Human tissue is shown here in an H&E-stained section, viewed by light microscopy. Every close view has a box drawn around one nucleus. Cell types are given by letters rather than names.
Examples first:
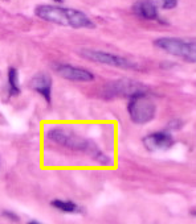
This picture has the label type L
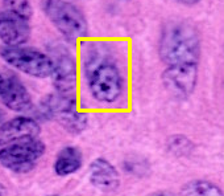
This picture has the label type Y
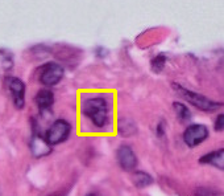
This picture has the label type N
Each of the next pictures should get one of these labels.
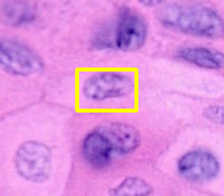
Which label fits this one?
type Y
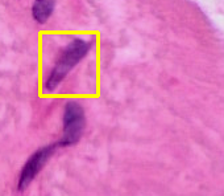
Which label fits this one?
type L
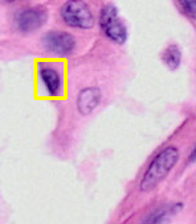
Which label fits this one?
type Y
